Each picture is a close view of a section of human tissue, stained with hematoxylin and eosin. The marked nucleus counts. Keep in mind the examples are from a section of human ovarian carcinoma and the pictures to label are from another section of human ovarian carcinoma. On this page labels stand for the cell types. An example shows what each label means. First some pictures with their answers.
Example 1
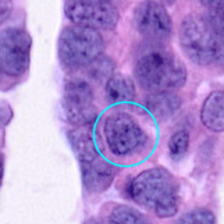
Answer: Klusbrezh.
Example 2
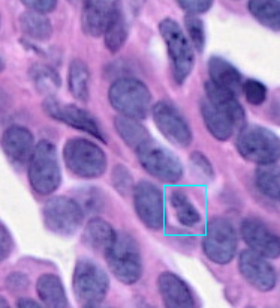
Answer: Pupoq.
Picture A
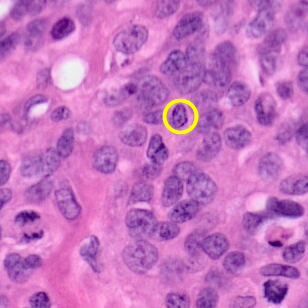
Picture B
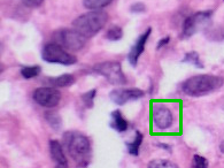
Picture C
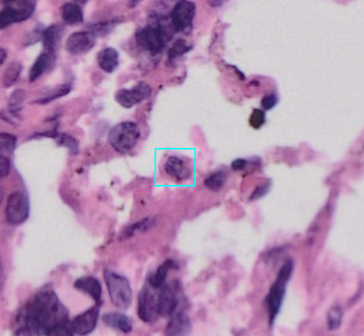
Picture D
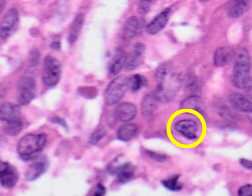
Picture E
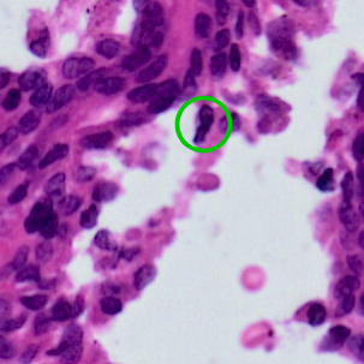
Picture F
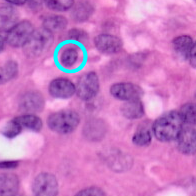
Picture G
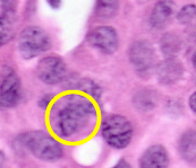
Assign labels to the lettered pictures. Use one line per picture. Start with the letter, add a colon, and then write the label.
A: Pupoq.
B: Pupoq.
C: Pupoq.
D: Pupoq.
E: Pupoq.
F: Pupoq.
G: Klusbrezh.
